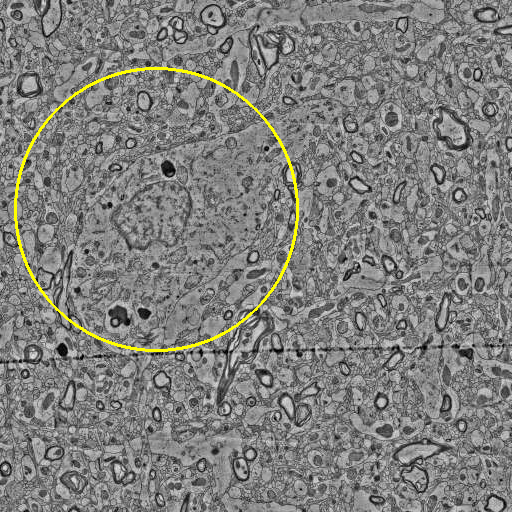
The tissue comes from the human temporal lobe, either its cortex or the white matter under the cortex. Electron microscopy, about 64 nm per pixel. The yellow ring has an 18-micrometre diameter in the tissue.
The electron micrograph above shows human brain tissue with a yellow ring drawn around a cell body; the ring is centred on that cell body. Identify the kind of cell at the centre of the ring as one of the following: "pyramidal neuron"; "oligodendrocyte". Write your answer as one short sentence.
The cell at the centre of the ring is a pyramidal neuron.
